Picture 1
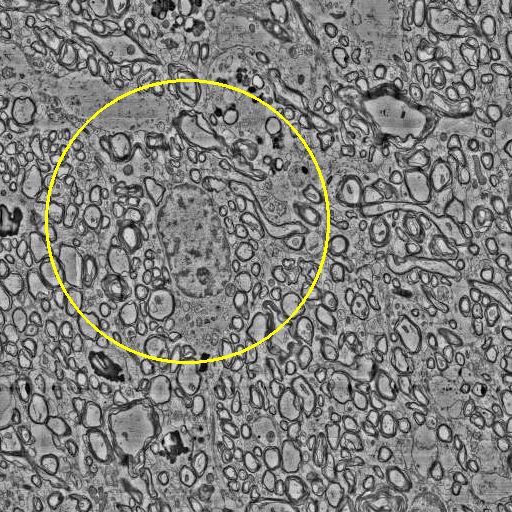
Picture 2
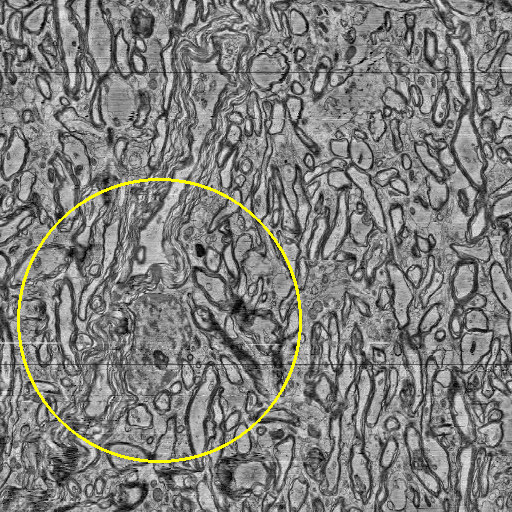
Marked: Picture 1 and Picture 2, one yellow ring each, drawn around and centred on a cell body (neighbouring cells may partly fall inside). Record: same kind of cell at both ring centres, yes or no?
yes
